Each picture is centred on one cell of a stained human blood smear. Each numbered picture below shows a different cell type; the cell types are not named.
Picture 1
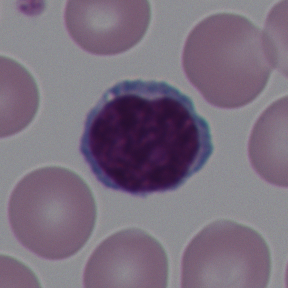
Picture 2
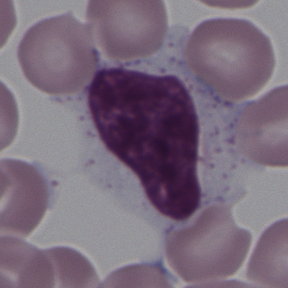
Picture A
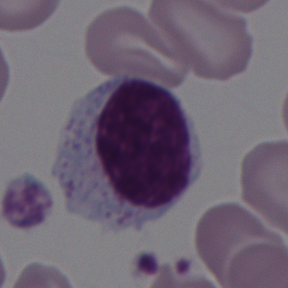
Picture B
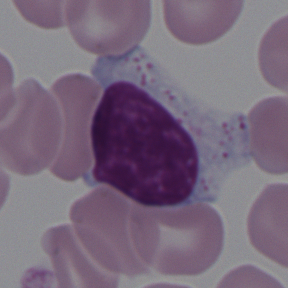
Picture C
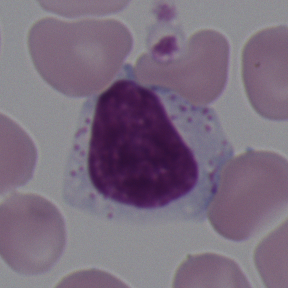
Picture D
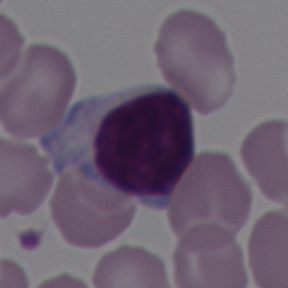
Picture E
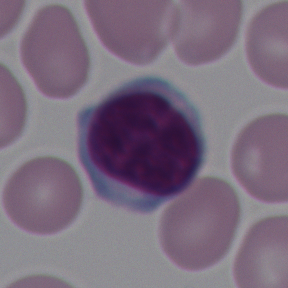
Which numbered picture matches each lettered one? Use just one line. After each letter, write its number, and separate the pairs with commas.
A 2, B 2, C 2, D 1, E 1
